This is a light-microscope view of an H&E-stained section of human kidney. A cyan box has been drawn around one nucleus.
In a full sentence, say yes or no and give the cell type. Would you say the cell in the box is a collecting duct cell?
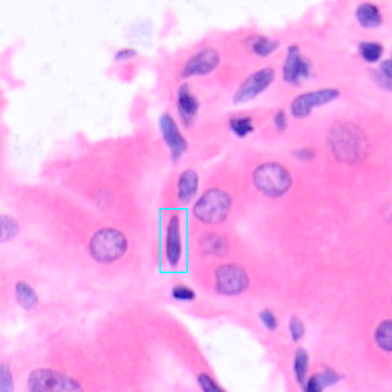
No, the cell in the box is not to be called a collecting duct cell; it is an endothelial cell.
